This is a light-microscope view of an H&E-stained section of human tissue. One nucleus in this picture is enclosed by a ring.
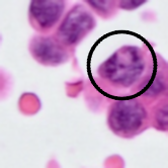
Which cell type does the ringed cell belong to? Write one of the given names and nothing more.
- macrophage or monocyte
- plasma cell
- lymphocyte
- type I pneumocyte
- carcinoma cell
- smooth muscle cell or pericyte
carcinoma cell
